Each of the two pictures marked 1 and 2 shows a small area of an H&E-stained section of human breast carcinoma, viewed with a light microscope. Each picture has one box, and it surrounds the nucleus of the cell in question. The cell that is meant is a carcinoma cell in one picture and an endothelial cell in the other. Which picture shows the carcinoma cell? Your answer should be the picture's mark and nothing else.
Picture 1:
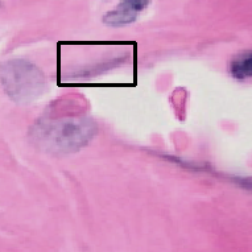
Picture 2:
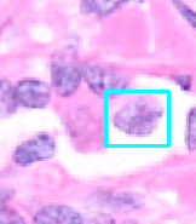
2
